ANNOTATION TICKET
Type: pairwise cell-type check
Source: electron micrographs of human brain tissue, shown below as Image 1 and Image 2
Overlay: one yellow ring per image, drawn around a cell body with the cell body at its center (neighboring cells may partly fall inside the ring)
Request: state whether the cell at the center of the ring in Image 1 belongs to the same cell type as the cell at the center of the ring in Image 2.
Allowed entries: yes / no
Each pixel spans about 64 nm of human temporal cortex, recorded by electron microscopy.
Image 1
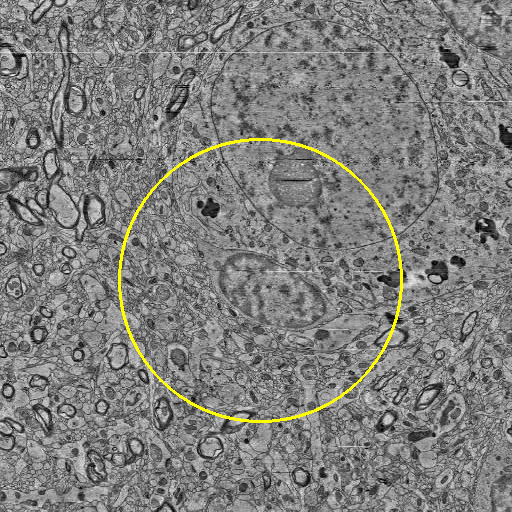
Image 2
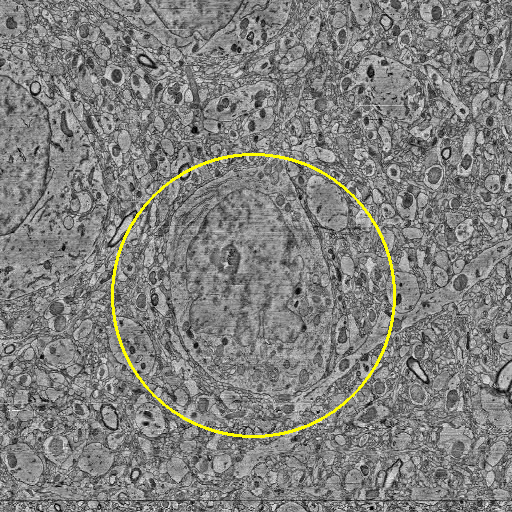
no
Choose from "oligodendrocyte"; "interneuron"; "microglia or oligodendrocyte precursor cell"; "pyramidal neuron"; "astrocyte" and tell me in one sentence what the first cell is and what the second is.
What the first ring is centred on is an oligodendrocyte; what the second ring is centred on is an interneuron.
